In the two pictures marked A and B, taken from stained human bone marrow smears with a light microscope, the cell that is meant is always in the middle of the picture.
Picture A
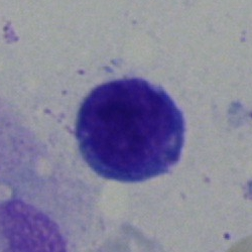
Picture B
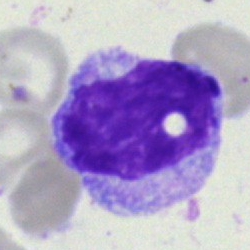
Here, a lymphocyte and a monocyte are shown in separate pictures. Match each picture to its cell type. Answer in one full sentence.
The cell in picture A is a lymphocyte, and the one in picture B is a monocyte.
